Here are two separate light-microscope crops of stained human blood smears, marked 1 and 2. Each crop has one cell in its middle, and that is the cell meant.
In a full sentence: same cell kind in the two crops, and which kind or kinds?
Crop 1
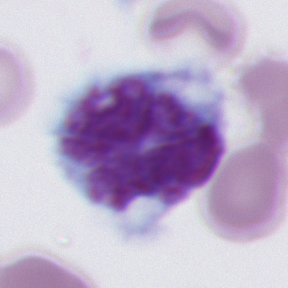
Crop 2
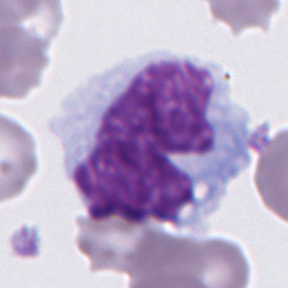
Yes, both crops here show monocytes, the pair of them.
